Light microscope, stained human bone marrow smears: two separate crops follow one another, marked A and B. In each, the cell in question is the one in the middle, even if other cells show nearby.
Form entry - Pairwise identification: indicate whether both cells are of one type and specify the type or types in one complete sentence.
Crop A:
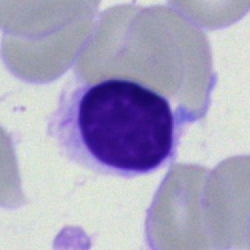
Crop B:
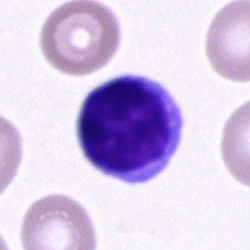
Yes, it is lymphocytes that occupy the middle of both crops.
